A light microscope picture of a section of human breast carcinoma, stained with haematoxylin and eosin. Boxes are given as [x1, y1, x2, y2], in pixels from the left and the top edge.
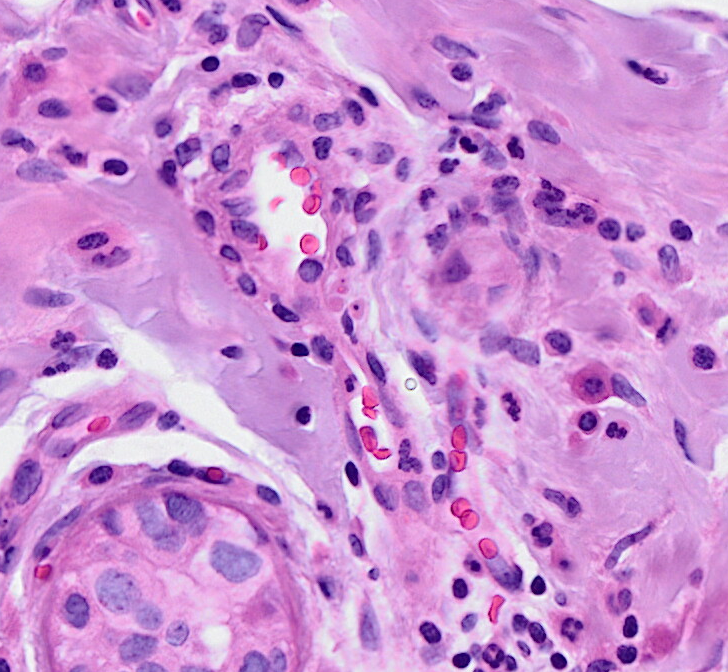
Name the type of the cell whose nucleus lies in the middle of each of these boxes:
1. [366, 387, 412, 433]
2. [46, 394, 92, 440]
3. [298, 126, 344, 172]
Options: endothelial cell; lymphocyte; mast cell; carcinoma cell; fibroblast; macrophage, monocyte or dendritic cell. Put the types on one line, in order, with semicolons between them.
endothelial cell; endothelial cell; lymphocyte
